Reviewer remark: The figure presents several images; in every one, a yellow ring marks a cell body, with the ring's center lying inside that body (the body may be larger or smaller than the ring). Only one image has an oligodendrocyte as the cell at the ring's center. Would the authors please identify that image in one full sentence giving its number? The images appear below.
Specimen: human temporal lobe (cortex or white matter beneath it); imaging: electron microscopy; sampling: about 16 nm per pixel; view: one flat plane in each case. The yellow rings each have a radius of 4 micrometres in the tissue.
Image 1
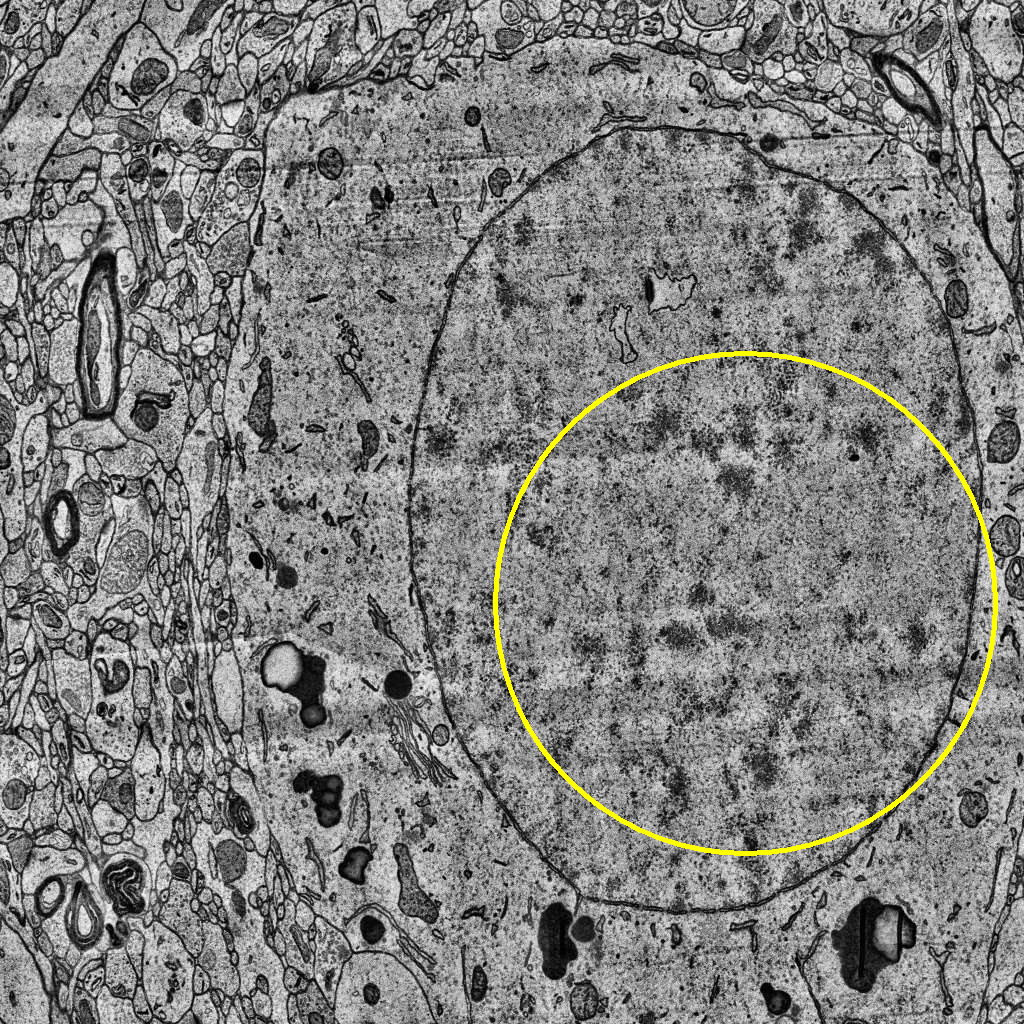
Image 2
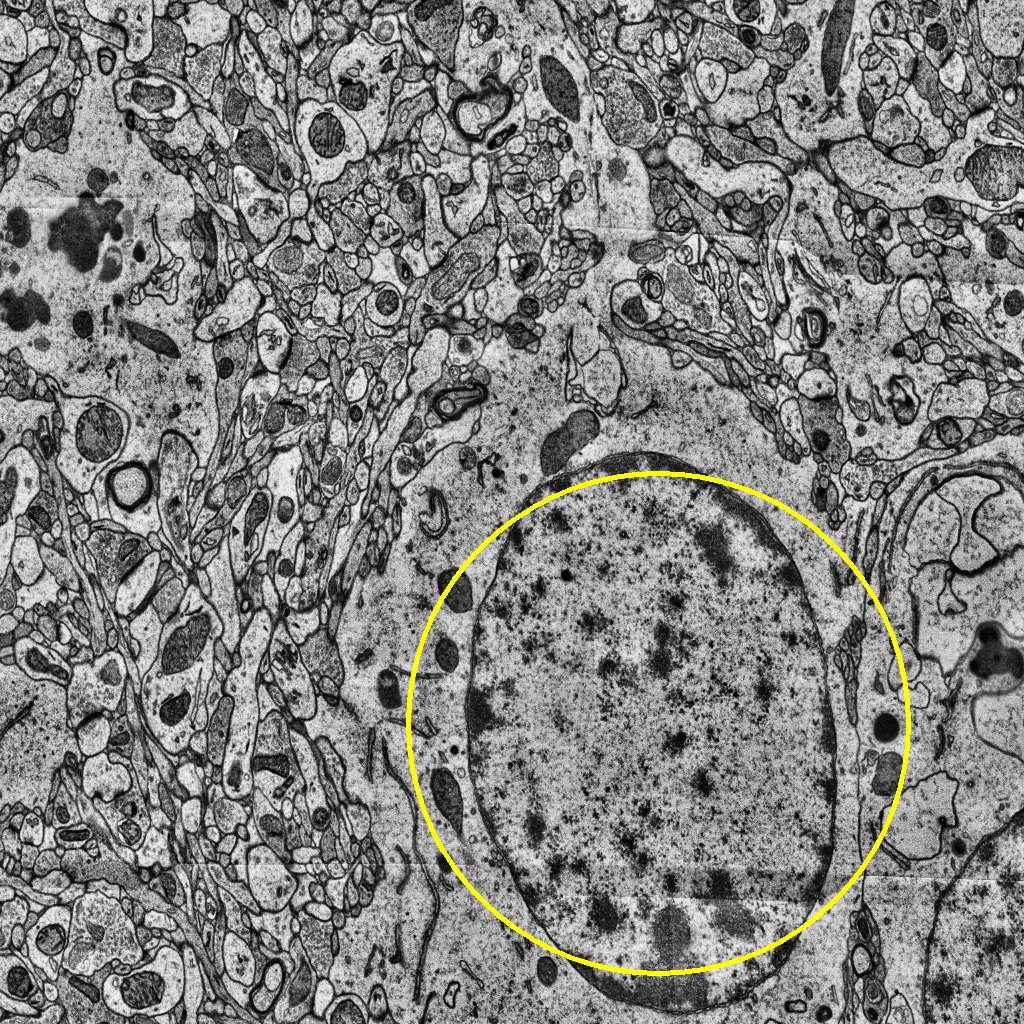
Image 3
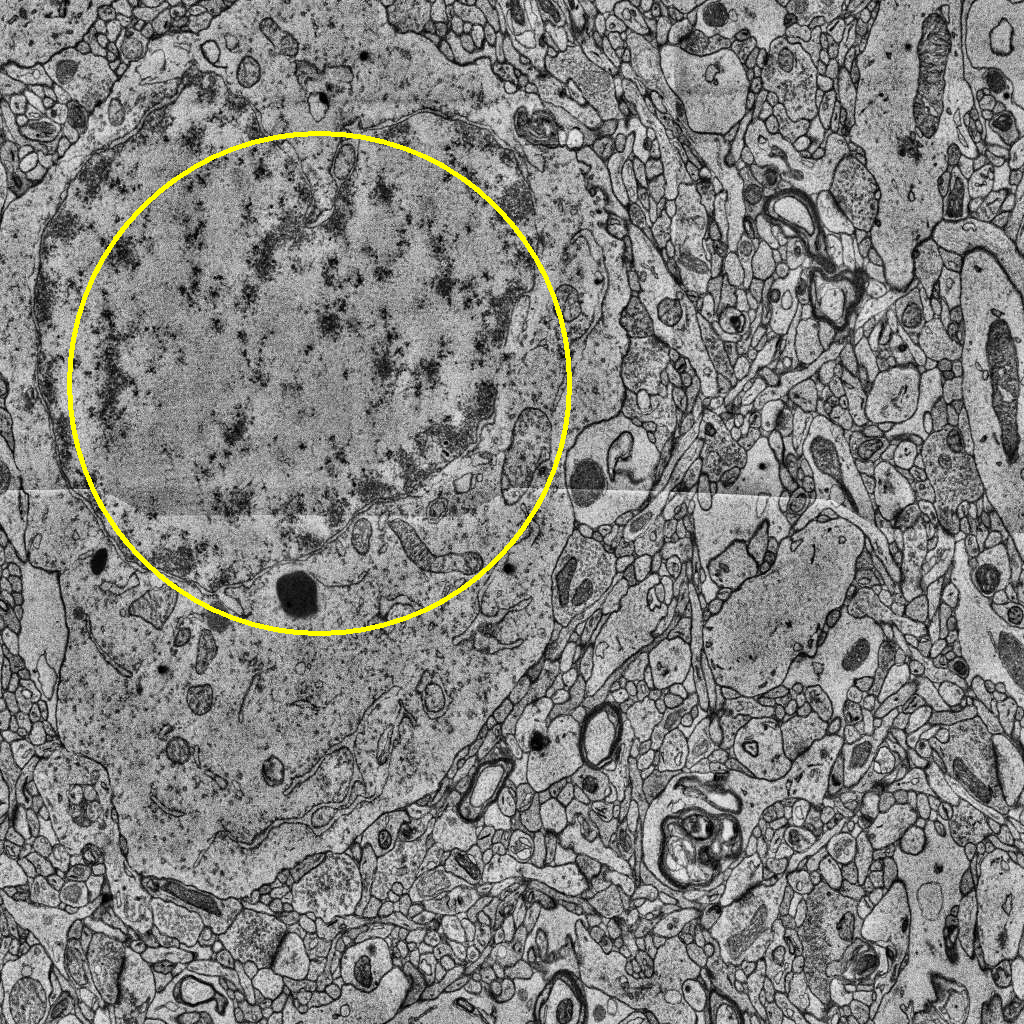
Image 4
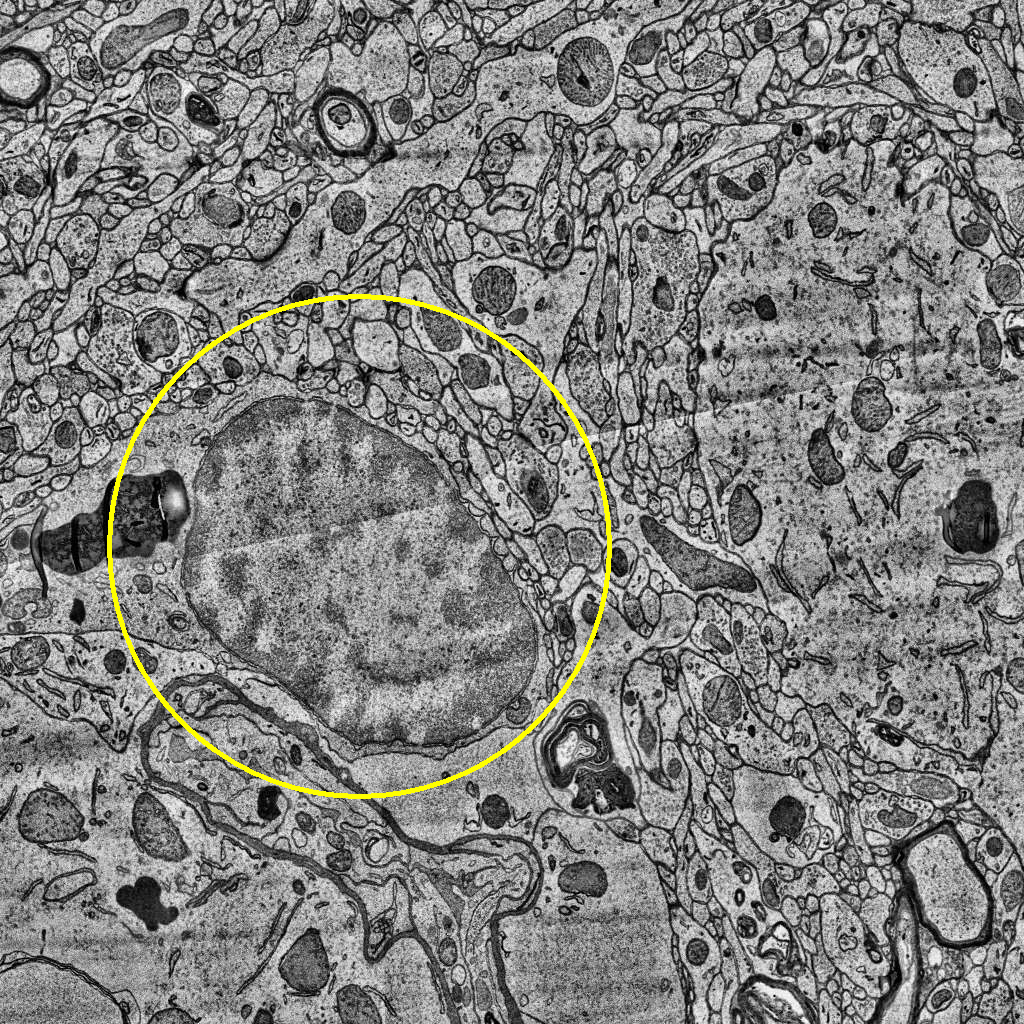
The cell at the ring's center in image 4 is the one the question describes.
